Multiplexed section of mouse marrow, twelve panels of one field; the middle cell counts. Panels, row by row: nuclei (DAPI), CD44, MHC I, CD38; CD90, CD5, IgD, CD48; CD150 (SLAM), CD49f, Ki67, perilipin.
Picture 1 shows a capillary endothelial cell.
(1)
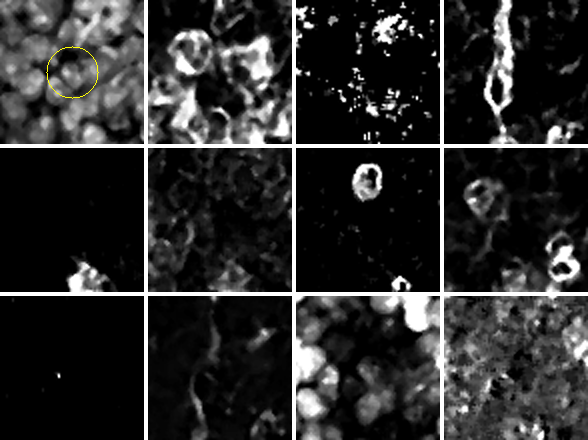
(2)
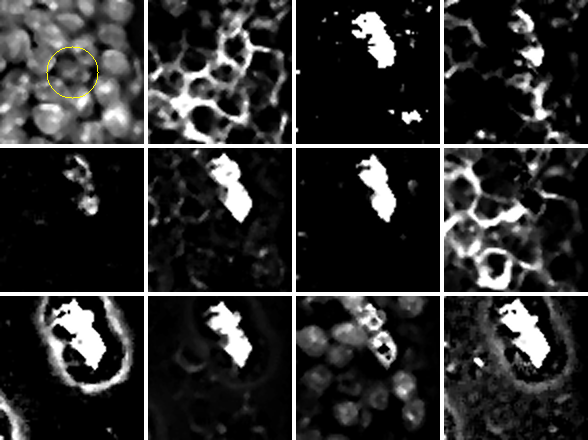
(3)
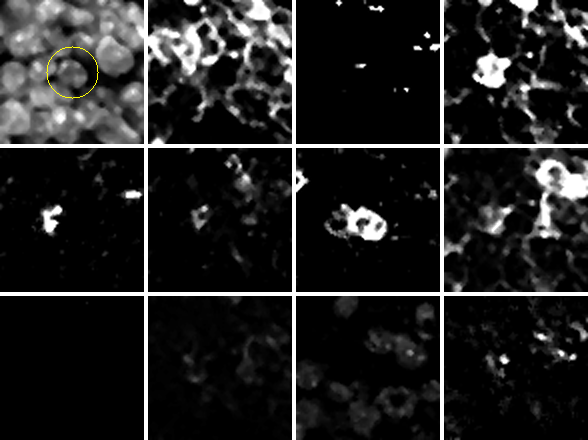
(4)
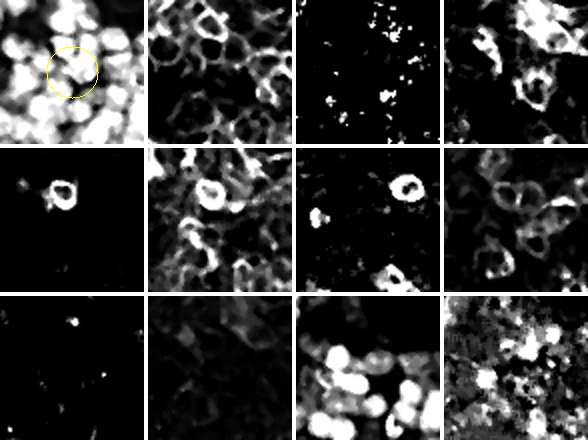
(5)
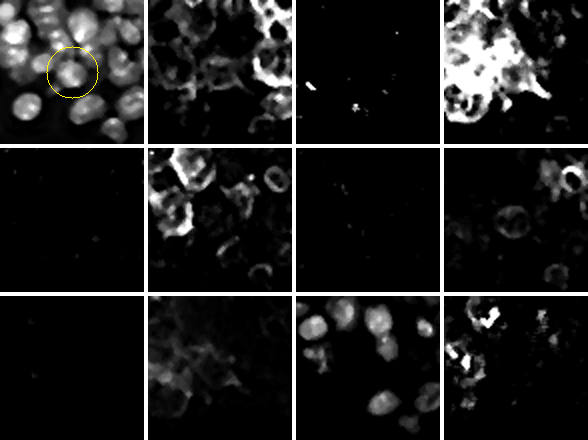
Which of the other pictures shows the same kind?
Picture 5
